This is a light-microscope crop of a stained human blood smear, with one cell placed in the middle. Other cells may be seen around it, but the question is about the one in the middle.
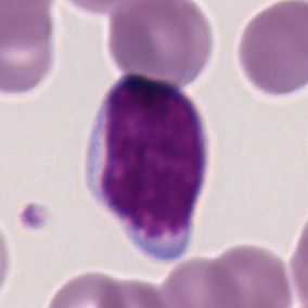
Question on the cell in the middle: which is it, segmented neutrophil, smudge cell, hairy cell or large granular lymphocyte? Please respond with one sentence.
The cell that lies at the centre of the crop is a large granular lymphocyte.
